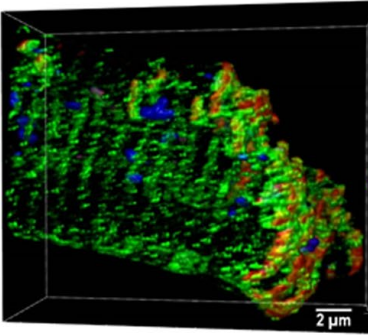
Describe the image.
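End of a muscle cell in three-dimensional view. Green puncta and short rods fill the cytoplasm in regular transverse rows, giving a striated look along the cell. The cell end is stepped, and along it a broad band of red label mixes with dense green, seen as red, green and yellow patches. A few blue dots lie scattered in the interior and near the end. The outline of the cell narrows toward one side.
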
